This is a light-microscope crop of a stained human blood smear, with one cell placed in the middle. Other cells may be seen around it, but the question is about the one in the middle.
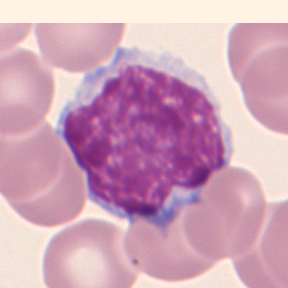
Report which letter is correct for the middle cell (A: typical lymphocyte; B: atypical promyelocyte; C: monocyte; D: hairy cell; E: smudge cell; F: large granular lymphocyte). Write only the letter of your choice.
A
